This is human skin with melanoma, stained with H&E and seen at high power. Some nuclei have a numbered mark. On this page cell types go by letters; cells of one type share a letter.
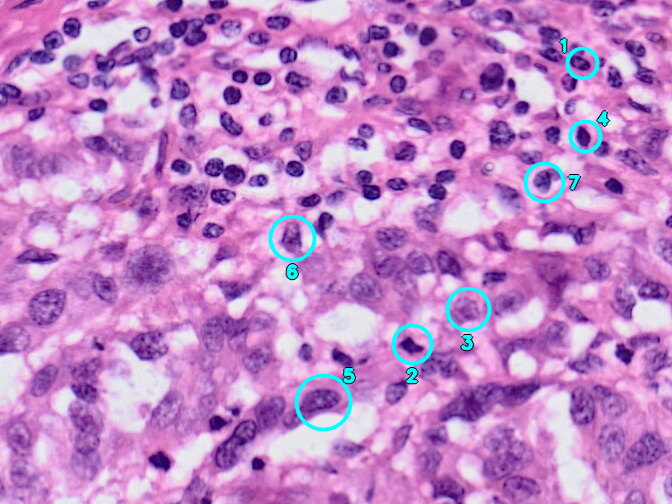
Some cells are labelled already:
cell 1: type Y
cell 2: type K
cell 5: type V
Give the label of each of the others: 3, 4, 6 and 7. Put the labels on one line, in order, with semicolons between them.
type V; type K; type V; type K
